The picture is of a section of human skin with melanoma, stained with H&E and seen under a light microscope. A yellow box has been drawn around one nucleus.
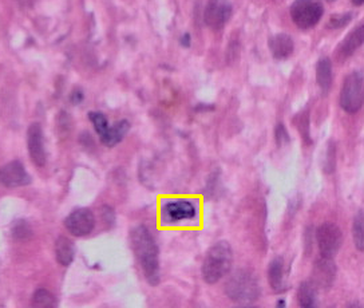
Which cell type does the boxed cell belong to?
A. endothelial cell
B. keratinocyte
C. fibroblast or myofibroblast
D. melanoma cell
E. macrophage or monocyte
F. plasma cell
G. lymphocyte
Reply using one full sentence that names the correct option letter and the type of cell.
Option G is right, and the boxed cell is a lymphocyte.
